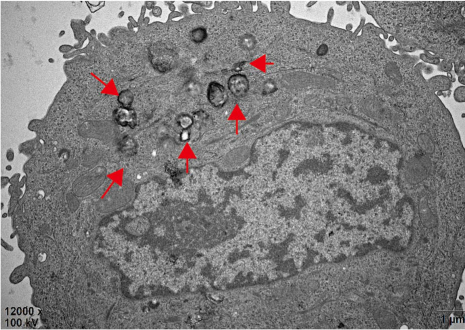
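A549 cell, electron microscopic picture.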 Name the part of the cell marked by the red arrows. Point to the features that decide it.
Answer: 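Autophagic vacuoles. Several round membrane-bound vesicles lie in the cytoplasm beside the nucleus. The vesicles contain dark, dense, heterogeneous material. The vesicles are ringed by dark membranes.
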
